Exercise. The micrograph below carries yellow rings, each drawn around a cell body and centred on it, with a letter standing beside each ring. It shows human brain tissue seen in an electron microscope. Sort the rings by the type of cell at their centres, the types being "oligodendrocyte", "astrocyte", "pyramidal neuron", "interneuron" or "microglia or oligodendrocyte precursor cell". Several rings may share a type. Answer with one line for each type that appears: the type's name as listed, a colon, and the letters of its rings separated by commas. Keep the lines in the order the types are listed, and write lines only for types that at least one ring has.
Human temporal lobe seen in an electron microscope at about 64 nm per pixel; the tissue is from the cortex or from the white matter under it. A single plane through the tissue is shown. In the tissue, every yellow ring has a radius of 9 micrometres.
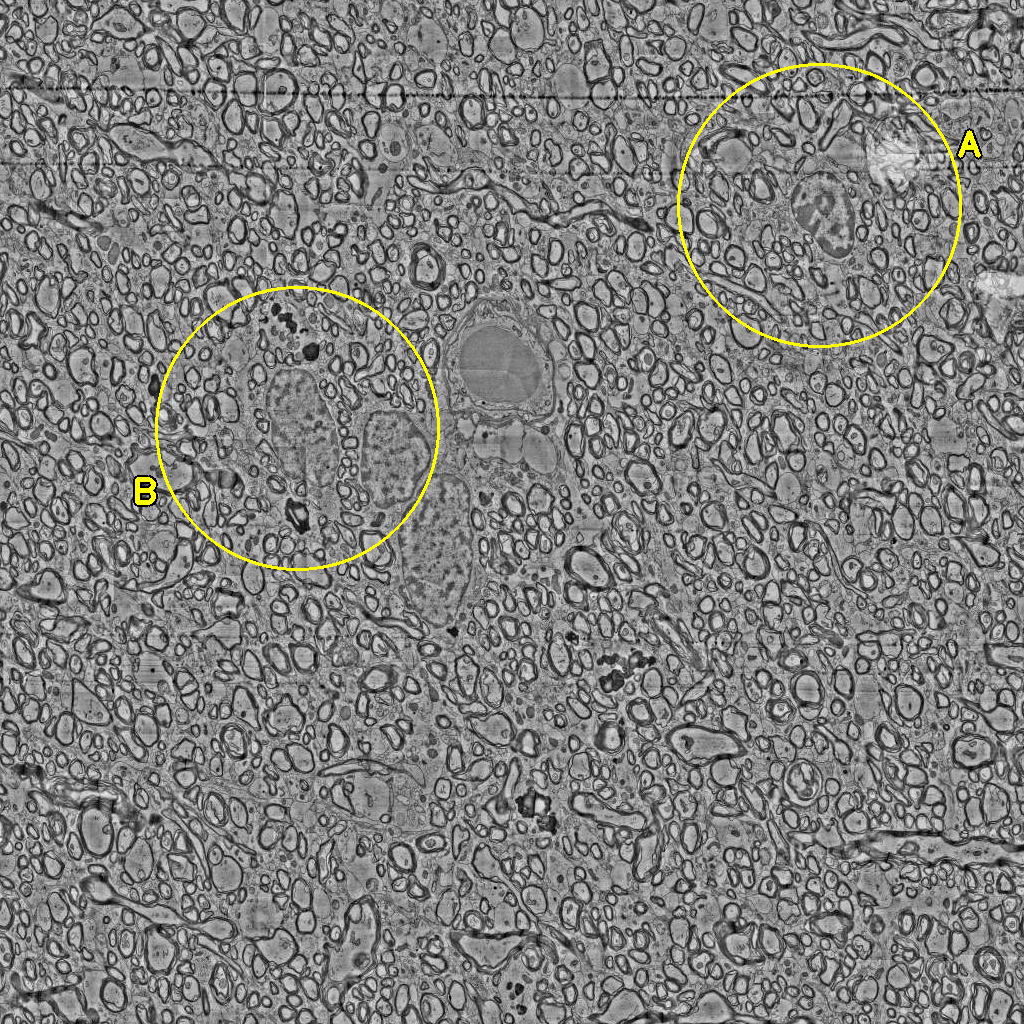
oligodendrocyte: B
microglia or oligodendrocyte precursor cell: A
